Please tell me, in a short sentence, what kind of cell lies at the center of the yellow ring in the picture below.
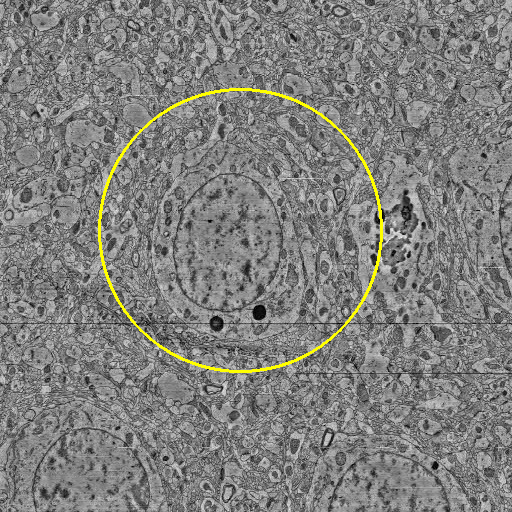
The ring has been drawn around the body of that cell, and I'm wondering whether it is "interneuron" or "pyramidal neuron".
The cell at the center of the ring is a pyramidal neuron.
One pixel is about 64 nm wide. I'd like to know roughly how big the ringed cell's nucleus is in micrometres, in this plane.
In this plane, the nucleus is roughly 9 by 7 micrometres.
